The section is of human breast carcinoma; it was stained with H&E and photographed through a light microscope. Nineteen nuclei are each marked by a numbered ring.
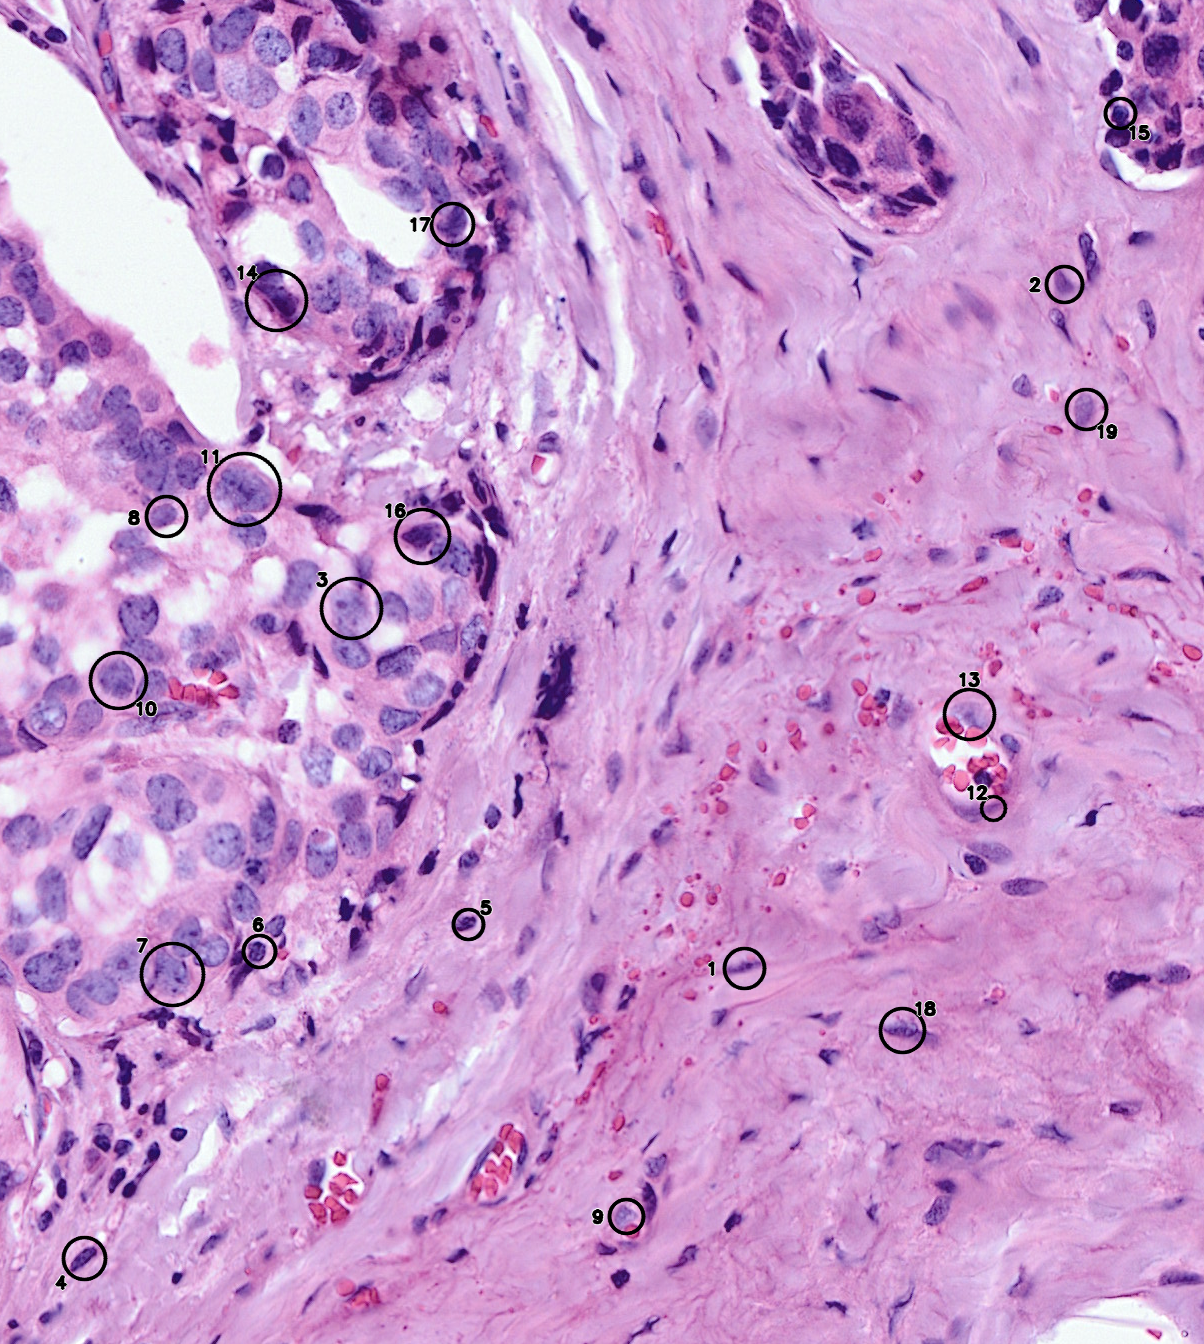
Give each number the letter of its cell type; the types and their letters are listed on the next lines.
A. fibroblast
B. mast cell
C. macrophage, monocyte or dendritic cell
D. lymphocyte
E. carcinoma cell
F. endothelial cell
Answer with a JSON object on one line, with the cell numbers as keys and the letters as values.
{"1": "A", "2": "A", "3": "E", "4": "B", "5": "D", "6": "D", "7": "E", "8": "E", "9": "F", "10": "E", "11": "E", "12": "F", "13": "F", "14": "E", "15": "D", "16": "E", "17": "E", "18": "A", "19": "A"}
